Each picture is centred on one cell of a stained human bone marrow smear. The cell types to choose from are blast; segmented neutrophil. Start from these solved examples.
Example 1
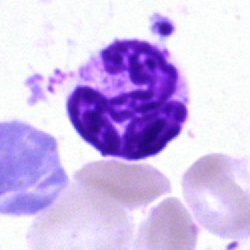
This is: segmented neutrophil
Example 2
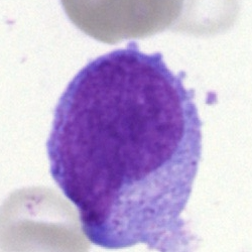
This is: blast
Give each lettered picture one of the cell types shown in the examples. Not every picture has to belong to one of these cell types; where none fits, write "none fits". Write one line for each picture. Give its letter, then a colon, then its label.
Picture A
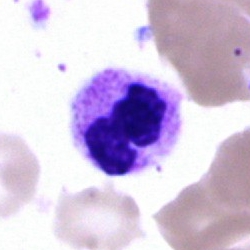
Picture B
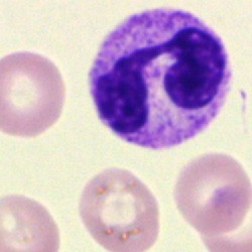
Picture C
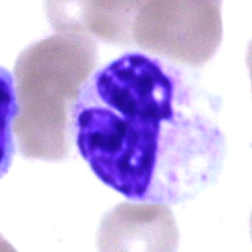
A: segmented neutrophil
B: segmented neutrophil
C: segmented neutrophil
